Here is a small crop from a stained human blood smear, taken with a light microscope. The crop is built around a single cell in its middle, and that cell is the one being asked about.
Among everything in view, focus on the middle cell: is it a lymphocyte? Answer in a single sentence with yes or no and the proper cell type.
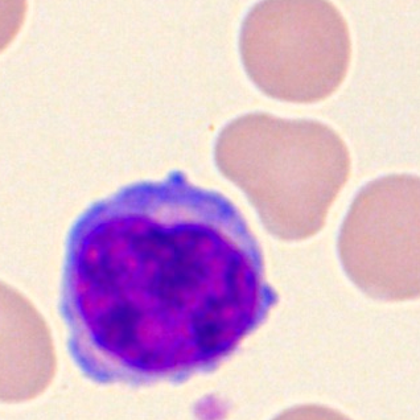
Yes, it is a lymphocyte that is seen at the centre of the crop.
